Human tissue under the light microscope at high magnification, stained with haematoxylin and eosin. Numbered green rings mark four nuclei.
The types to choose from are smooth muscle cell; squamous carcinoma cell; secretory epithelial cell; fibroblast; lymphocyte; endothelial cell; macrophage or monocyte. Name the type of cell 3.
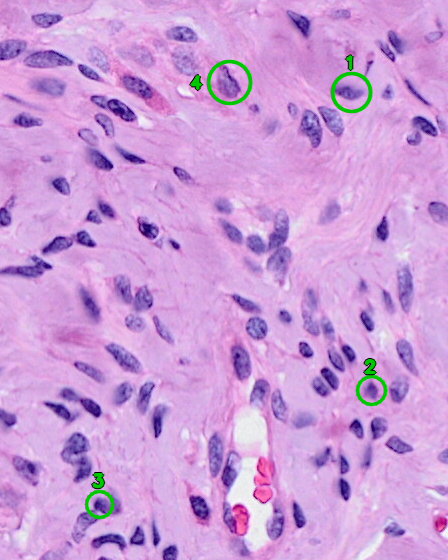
fibroblast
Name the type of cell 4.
smooth muscle cell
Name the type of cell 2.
fibroblast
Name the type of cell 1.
fibroblast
